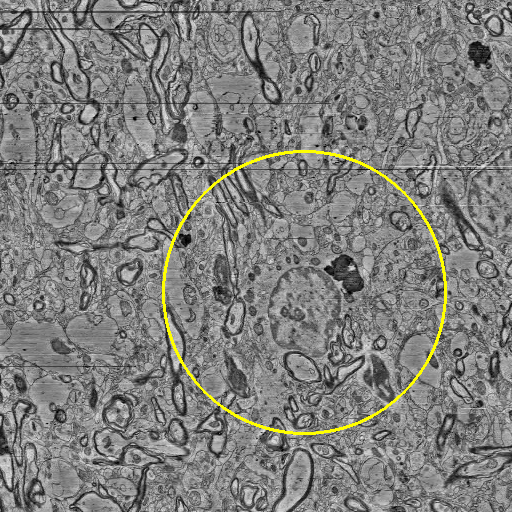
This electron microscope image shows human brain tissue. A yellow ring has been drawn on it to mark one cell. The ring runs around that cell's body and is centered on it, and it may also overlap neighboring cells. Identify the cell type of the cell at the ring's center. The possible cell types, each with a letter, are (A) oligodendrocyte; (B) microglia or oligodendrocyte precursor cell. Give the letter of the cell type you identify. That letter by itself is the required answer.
A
